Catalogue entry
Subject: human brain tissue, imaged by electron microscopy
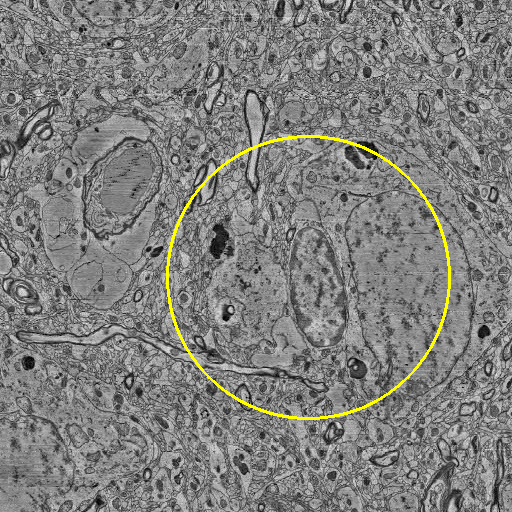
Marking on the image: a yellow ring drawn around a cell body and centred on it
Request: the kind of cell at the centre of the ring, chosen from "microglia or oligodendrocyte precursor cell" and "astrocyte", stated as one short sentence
The ring has a microglial cell or oligodendrocyte precursor cell at its centre.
